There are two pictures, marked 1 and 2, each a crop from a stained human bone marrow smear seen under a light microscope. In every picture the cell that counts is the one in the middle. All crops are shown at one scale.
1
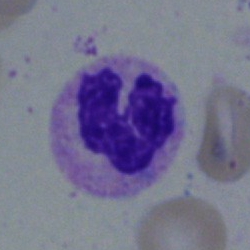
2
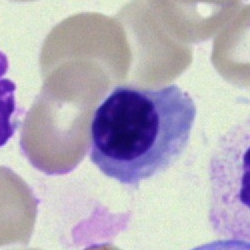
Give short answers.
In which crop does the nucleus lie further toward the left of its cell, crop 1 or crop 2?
2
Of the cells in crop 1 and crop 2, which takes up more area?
1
